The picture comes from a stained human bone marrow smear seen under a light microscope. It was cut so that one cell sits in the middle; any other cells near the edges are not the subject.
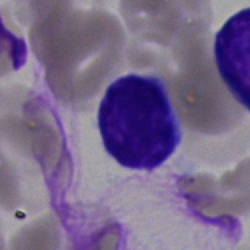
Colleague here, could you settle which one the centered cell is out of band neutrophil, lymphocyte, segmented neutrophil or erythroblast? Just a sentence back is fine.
At the crop's centre, the cell is a lymphocyte.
